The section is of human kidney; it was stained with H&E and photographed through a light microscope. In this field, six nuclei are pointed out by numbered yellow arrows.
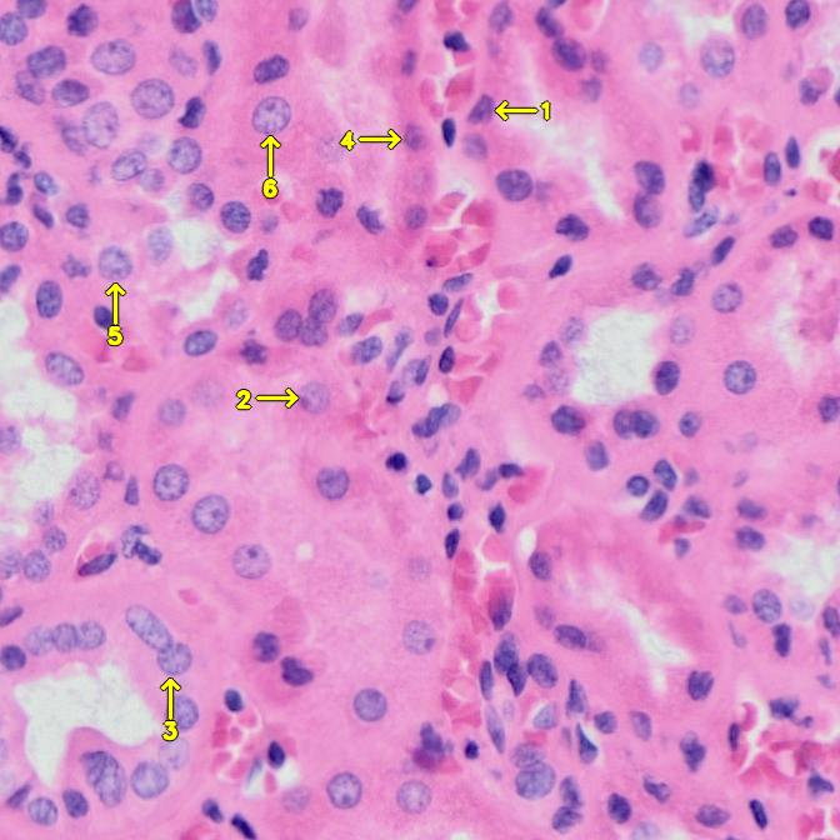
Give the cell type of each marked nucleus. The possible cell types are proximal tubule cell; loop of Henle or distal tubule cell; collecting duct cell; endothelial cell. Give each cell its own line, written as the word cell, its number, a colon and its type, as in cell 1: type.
cell 1: proximal tubule cell
cell 2: proximal tubule cell
cell 3: collecting duct cell
cell 4: proximal tubule cell
cell 5: loop of Henle or distal tubule cell
cell 6: proximal tubule cell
